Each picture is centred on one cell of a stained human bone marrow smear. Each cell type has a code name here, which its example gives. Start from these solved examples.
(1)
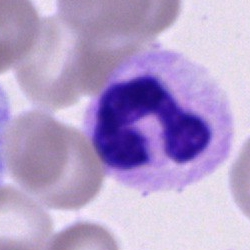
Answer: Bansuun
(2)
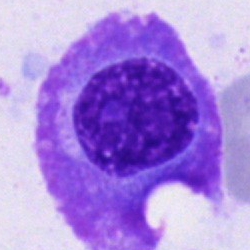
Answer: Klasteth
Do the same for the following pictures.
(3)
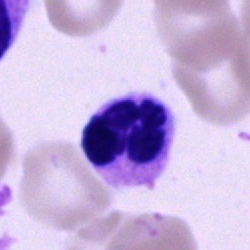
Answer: Bansuun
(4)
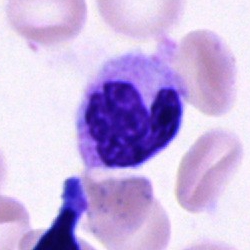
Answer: Bansuun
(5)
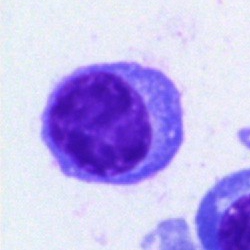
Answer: Klasteth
